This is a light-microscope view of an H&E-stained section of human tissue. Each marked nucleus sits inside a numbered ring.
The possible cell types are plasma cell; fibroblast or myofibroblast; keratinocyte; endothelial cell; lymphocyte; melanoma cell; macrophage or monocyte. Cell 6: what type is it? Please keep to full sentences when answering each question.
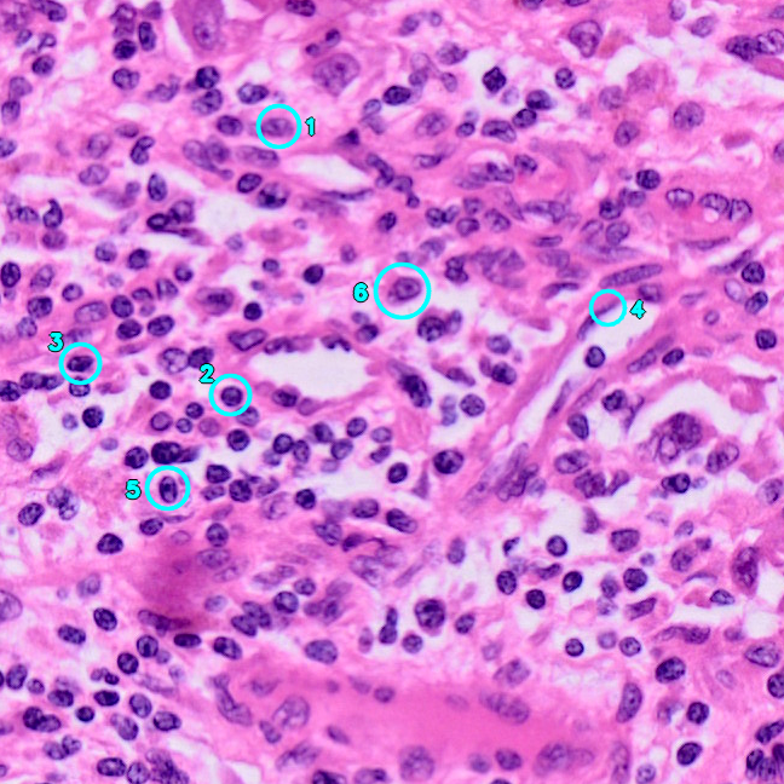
The cell with the number 6 is a macrophage or monocyte.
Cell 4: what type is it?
It is as an endothelial cell that the cell numbered 4 is identified.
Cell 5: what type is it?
The numbered cell 5 in this field is a lymphocyte.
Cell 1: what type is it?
At number 1, the marked cell is a macrophage or monocyte.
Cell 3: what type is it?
Classified as a lymphocyte is the cell with the number 3.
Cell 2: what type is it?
The cell bearing label 2 corresponds to a lymphocyte.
